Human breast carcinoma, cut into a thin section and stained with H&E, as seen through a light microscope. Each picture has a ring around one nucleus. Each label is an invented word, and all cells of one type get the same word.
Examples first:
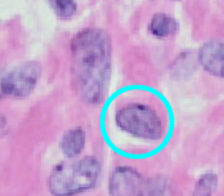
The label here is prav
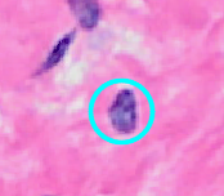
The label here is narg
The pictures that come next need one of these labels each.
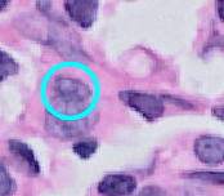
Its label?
prav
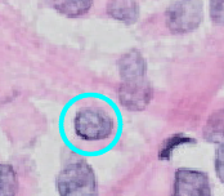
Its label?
prav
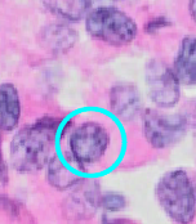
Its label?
prav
